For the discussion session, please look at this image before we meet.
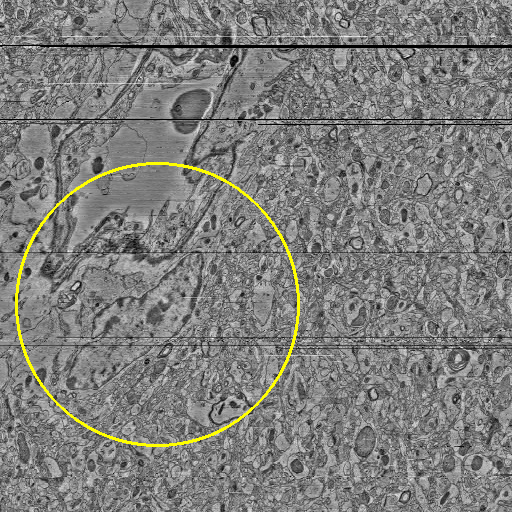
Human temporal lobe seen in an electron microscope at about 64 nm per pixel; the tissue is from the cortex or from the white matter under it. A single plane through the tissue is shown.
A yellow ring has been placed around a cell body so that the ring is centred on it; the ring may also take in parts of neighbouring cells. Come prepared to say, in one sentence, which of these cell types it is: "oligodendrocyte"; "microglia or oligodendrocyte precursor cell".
The cell centred in the ring is a microglial cell or oligodendrocyte precursor cell.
